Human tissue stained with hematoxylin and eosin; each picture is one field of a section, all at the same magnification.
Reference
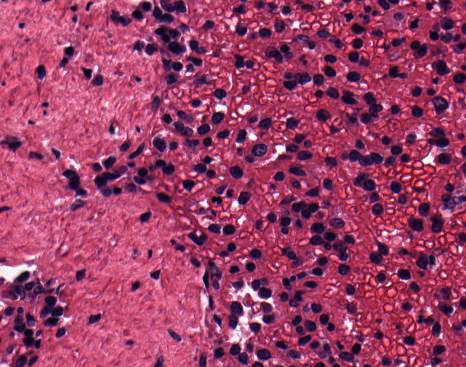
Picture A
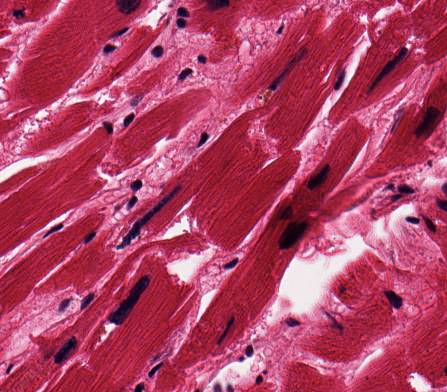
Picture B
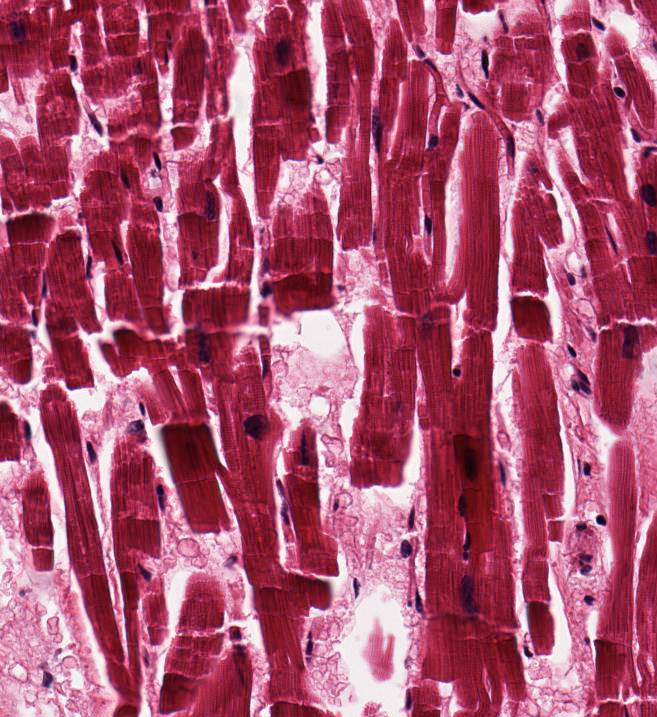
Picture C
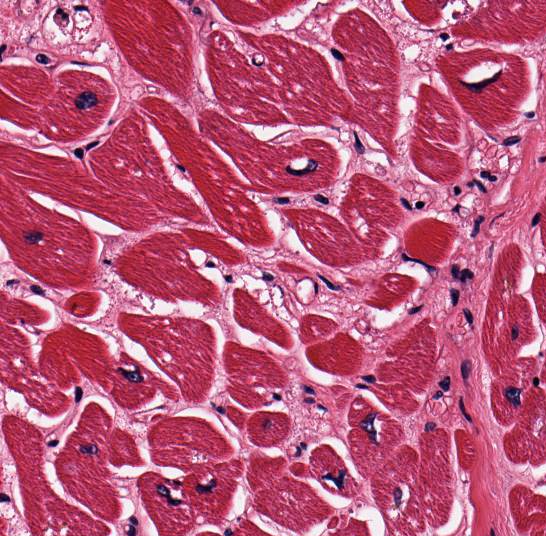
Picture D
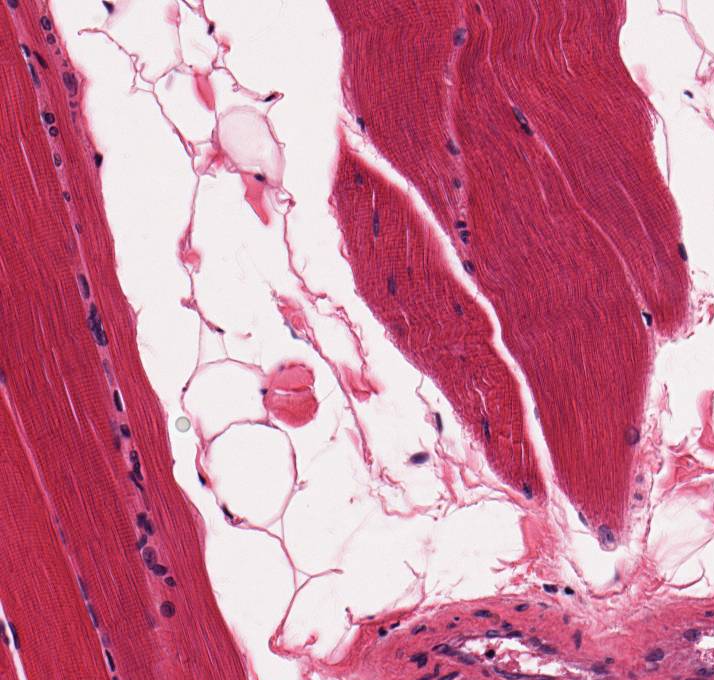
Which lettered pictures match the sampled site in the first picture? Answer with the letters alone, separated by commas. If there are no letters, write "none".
none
